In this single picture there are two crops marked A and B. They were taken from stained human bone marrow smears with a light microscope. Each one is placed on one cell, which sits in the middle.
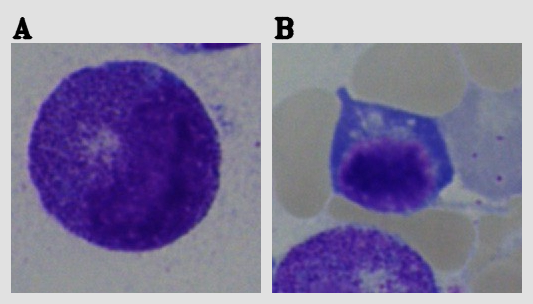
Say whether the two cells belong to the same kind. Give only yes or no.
no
